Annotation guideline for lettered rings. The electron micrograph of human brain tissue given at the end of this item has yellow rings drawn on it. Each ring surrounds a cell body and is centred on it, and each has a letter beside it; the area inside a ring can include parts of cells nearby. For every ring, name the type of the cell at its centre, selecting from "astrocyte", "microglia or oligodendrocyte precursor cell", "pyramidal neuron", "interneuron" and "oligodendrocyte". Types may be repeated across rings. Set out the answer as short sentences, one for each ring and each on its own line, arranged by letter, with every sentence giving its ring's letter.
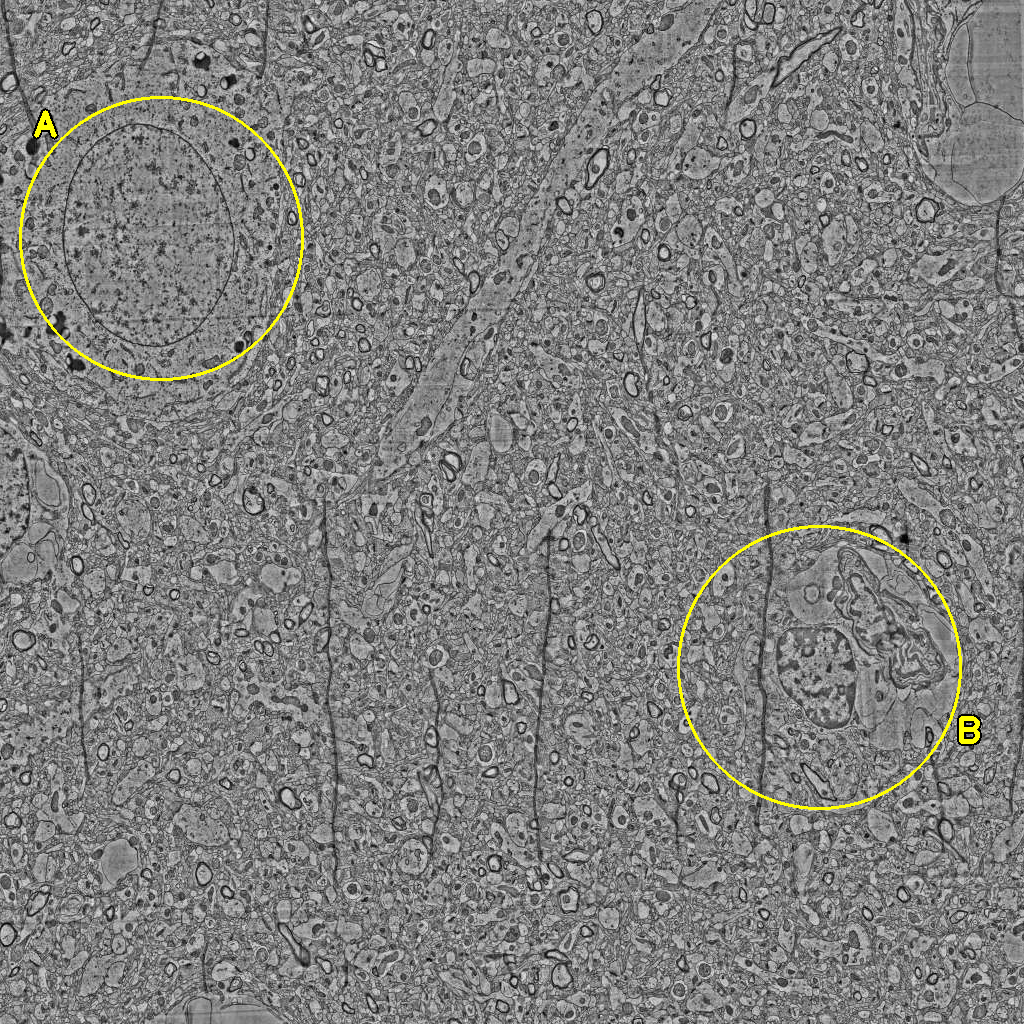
The cell centred in ring A is a pyramidal neuron.
The cell centred in ring B is a microglial cell or oligodendrocyte precursor cell.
